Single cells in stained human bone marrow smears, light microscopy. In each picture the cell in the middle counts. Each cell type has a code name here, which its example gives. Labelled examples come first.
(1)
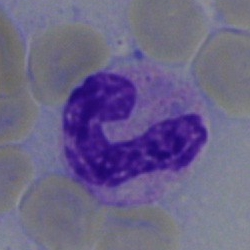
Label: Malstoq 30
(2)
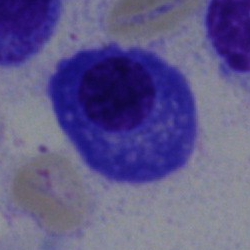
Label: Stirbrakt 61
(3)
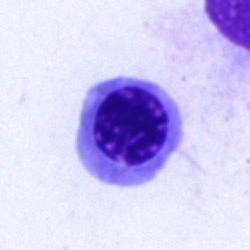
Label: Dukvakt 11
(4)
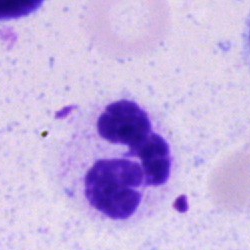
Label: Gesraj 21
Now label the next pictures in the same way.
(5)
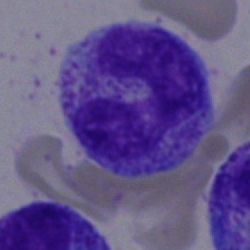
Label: Malstoq 30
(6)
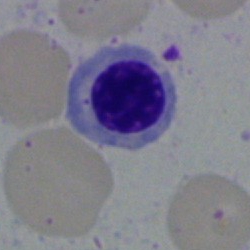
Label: Dukvakt 11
